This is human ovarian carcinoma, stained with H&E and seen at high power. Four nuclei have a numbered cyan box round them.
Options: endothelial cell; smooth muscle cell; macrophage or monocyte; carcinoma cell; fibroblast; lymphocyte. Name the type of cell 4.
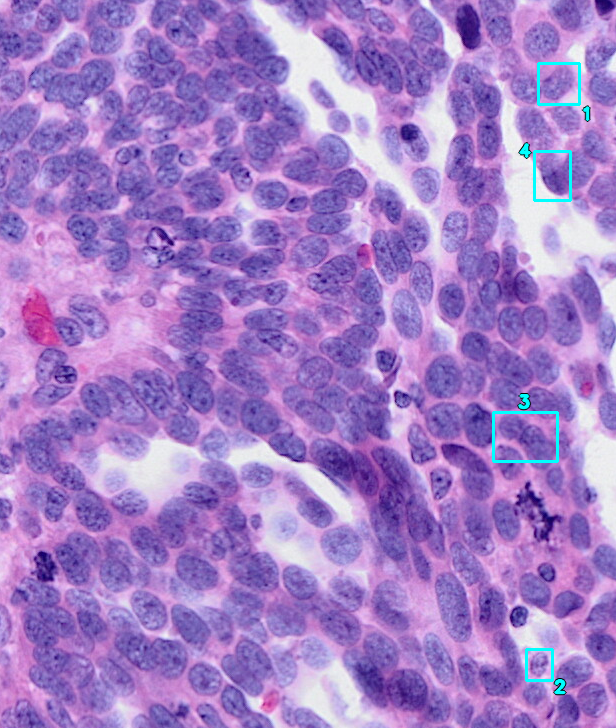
carcinoma cell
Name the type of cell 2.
macrophage or monocyte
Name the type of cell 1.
carcinoma cell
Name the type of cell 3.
carcinoma cell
